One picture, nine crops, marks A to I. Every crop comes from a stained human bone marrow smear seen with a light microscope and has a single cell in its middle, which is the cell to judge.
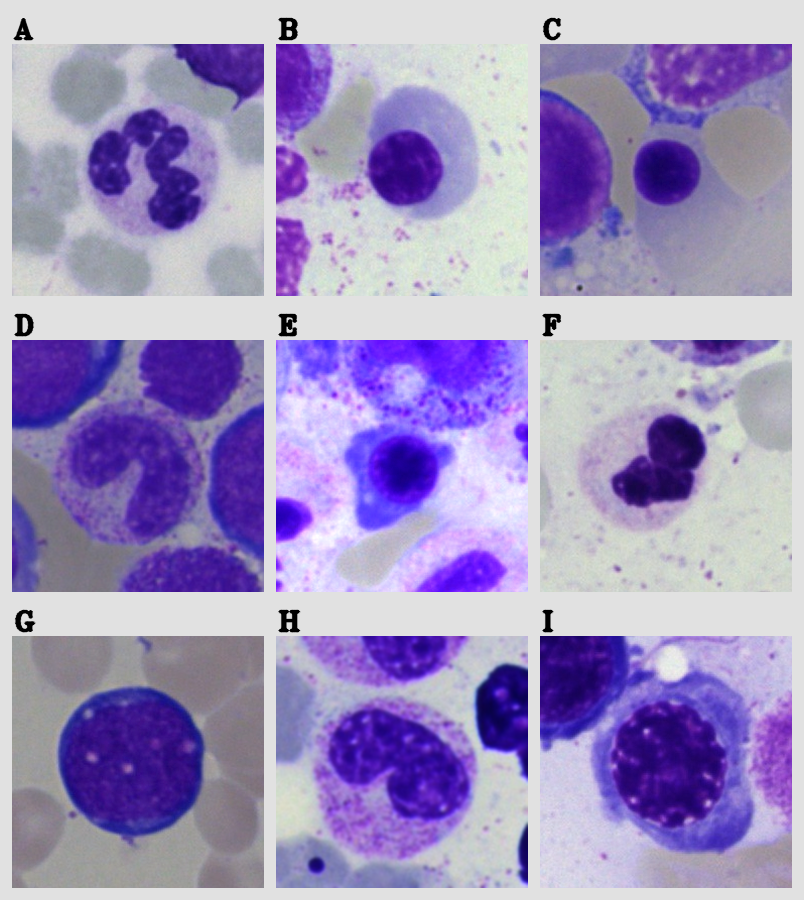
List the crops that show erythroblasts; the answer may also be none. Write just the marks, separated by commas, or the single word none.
B, C, E, I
